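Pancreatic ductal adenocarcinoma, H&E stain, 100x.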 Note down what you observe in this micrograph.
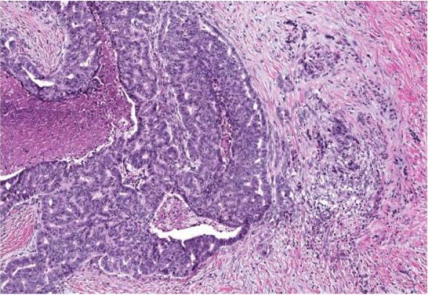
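This is a tumor nodule made of crowded, back-to-back small tubular glands lined by cells with dark purple nuclei, with almost no stroma between them. Around the nodule lies pink fibrous stroma, and at its edge small groups of tumor cells extend into that stroma.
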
